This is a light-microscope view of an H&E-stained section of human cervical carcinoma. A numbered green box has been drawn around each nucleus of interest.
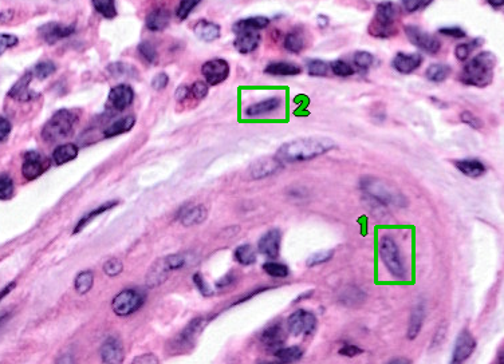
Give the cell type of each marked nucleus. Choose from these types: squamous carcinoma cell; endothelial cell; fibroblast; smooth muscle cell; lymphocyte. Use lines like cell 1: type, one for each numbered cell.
cell 1: smooth muscle cell
cell 2: lymphocyte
